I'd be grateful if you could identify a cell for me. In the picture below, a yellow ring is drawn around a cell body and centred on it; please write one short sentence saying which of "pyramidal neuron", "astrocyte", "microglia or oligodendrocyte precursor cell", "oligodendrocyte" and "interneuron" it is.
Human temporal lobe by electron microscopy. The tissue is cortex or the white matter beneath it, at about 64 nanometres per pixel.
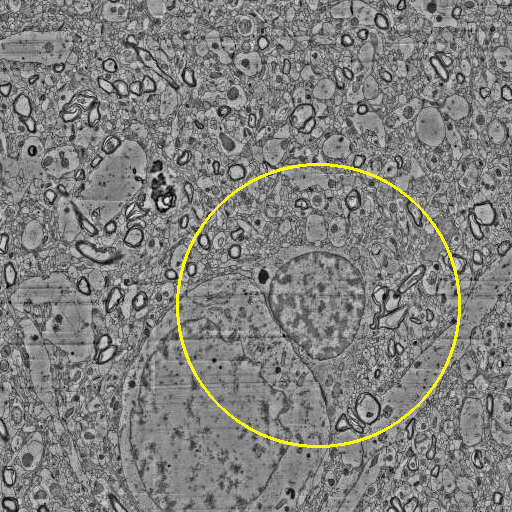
The cell under the ring's centre is an oligodendrocyte.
